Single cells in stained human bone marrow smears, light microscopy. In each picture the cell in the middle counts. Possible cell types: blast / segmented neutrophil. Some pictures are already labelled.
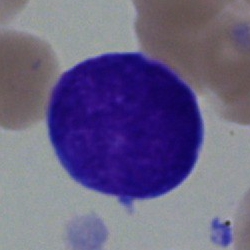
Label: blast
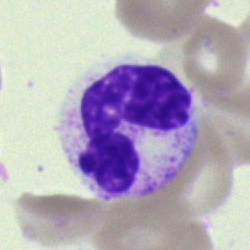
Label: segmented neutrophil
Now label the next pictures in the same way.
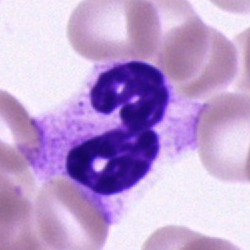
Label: segmented neutrophil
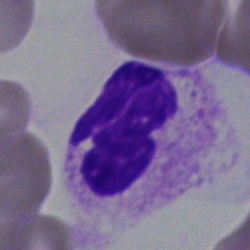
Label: segmented neutrophil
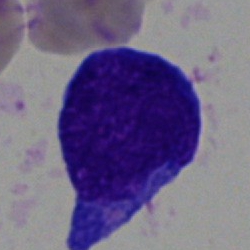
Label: blast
